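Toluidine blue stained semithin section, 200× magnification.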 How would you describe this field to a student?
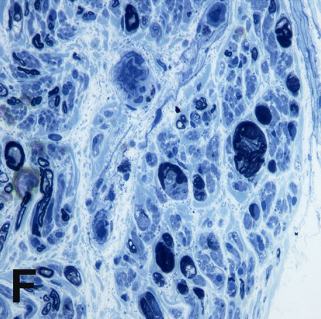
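This is a cross-section of a peripheral nerve fascicle at higher power, stained in shades of blue. Some myelinated fibers appear as irregular dark blue masses rather than neat rings, with their sheaths folded or broken up. A few profiles are enlarged and contain dark clumped material. Smaller fibers with thin rims lie between them, and pale spaces separate the fibers. Thin strands of connective tissue run through the fascicle.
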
